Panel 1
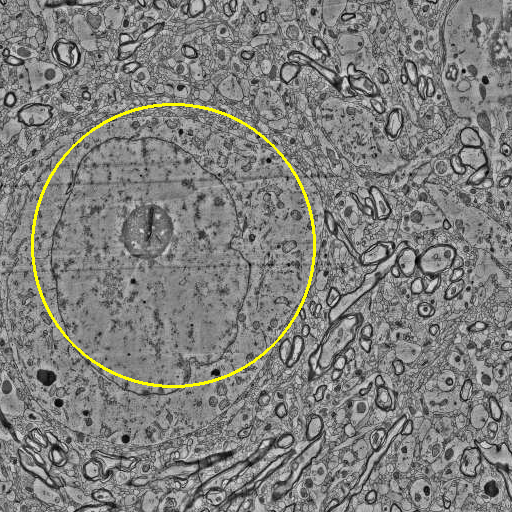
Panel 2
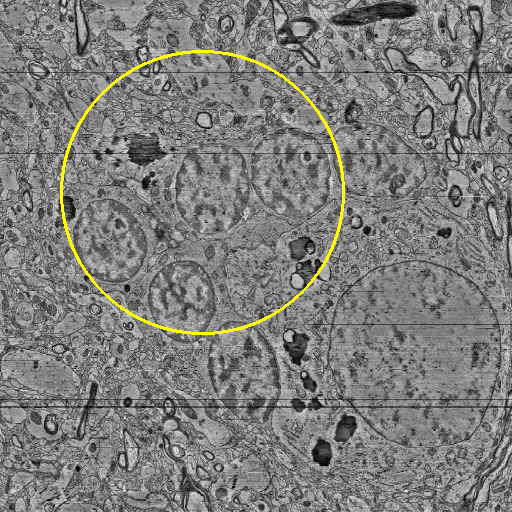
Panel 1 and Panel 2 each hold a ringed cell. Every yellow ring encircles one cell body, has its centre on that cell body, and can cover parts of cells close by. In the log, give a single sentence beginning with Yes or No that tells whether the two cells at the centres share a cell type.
No, in Panel 1 and Panel 2 the centred cells are of two cell types.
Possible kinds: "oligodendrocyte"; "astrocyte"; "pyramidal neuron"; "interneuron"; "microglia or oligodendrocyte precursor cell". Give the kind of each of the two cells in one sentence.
The cell in the second picture is an oligodendrocyte, and that in the first is a pyramidal neuron.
